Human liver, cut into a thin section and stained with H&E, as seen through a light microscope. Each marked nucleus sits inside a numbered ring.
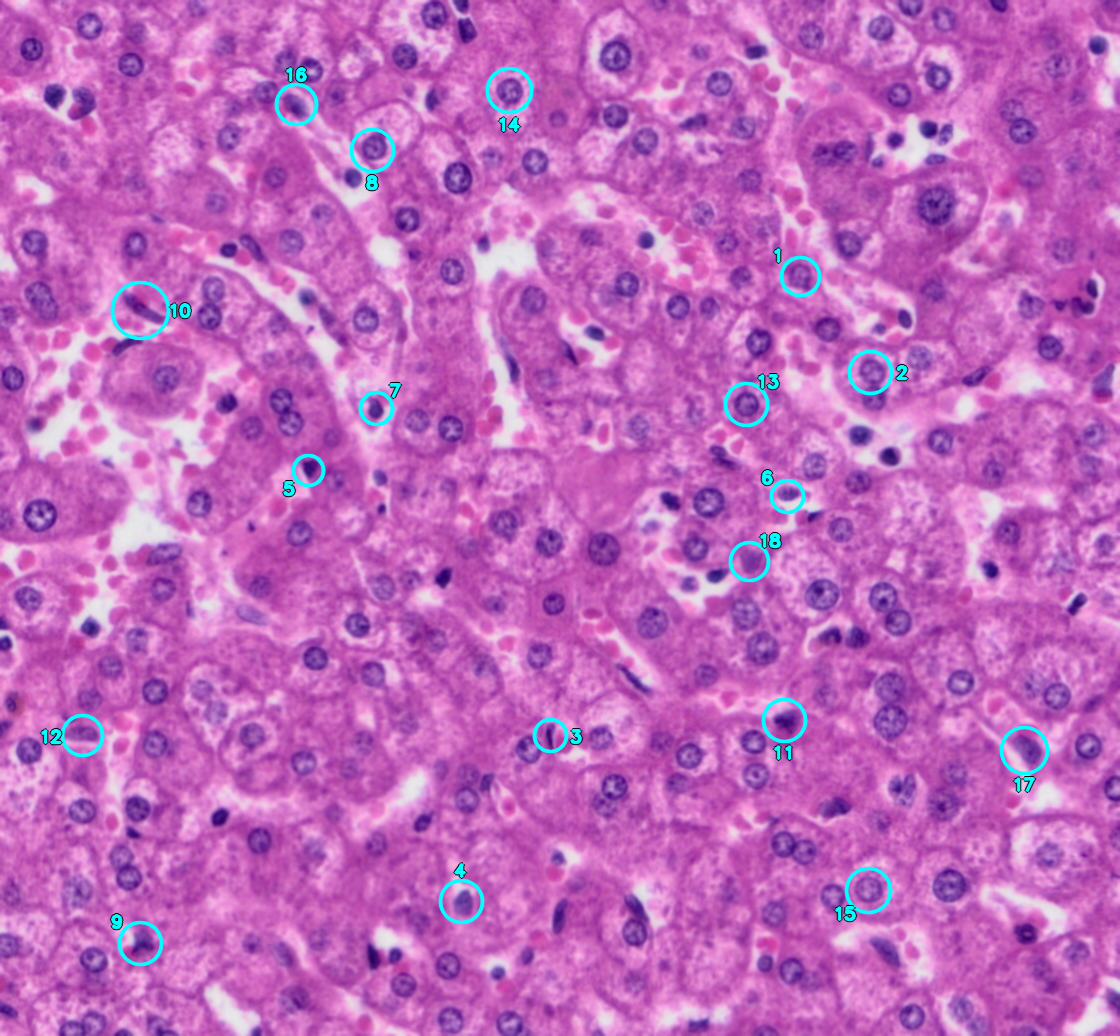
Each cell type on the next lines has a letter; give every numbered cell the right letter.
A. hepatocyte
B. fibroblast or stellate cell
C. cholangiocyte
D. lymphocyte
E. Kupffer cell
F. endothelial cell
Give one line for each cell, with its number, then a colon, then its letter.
1: A
2: A
3: F
4: F
5: B
6: D
7: D
8: A
9: F
10: E
11: F
12: E
13: A
14: A
15: A
16: E
17: E
18: F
